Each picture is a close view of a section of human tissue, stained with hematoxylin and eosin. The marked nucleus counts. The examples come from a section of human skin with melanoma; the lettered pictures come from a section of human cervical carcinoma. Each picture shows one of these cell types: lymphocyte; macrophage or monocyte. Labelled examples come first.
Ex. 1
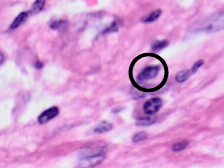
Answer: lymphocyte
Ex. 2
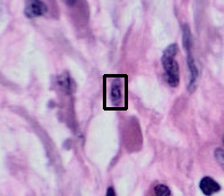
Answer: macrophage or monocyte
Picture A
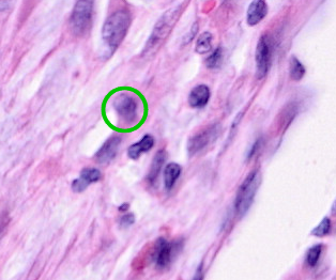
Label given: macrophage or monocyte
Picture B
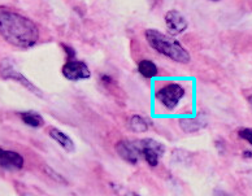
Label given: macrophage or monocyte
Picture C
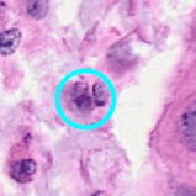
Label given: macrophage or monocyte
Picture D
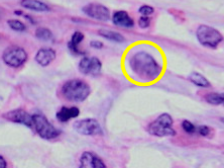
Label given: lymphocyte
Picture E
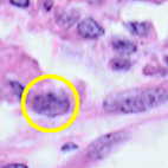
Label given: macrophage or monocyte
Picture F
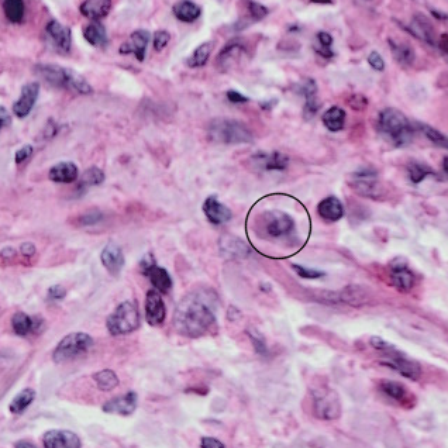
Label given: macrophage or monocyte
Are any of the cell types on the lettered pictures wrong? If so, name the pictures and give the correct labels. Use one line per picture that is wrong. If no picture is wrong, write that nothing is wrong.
B: not macrophage or monocyte but lymphocyte
D: not lymphocyte but macrophage or monocyte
